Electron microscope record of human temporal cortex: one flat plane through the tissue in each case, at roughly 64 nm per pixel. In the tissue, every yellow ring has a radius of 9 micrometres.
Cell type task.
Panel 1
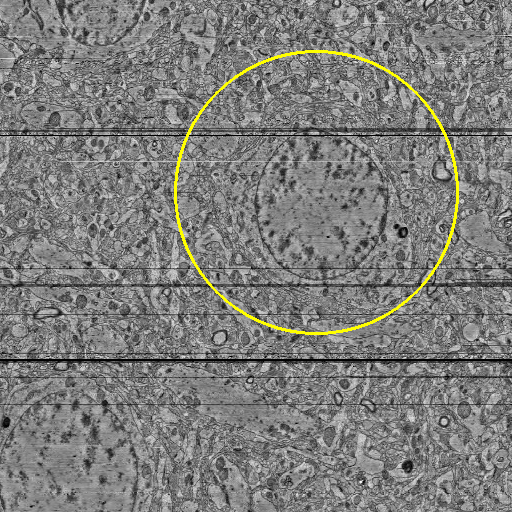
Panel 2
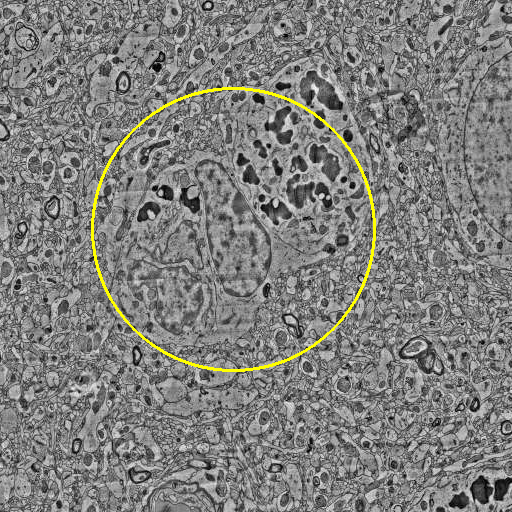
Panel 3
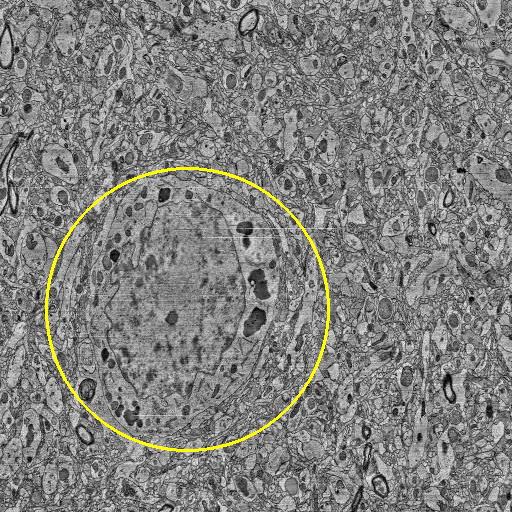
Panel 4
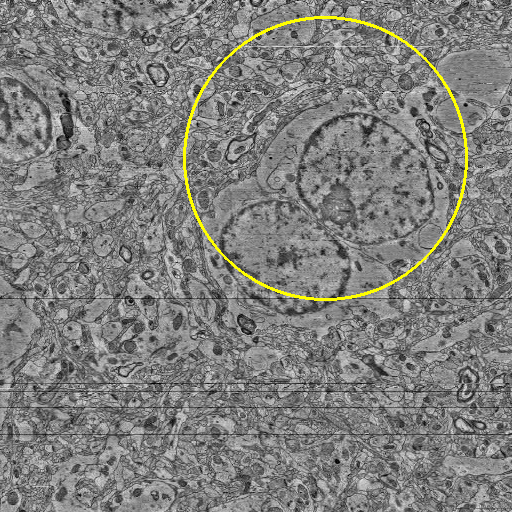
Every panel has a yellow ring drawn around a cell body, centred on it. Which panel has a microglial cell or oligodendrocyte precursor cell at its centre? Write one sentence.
It sits at the centre of the ring in Panel 2.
